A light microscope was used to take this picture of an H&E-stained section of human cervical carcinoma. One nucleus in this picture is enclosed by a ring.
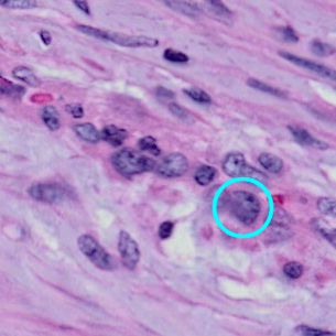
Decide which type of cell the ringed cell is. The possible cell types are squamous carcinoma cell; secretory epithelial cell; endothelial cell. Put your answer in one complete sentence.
It is an endothelial cell that the ringed cell represents.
